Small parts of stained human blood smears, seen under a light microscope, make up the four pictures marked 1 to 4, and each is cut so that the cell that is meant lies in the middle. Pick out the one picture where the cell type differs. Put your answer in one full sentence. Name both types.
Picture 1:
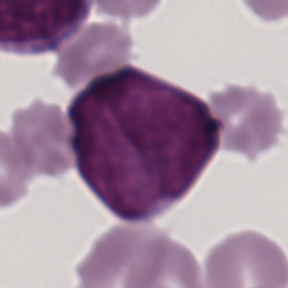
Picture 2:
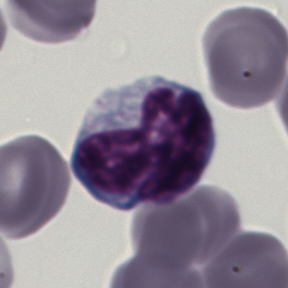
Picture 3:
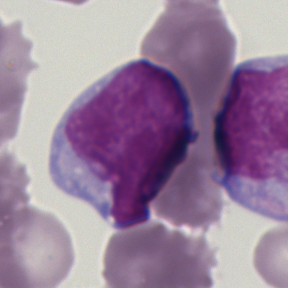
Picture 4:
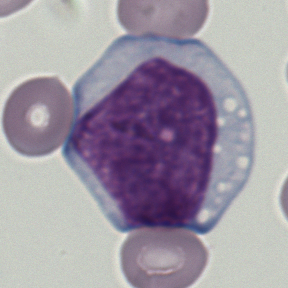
Unlike the rest, which show myeloblasts, picture 2 shows a typical lymphocyte.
